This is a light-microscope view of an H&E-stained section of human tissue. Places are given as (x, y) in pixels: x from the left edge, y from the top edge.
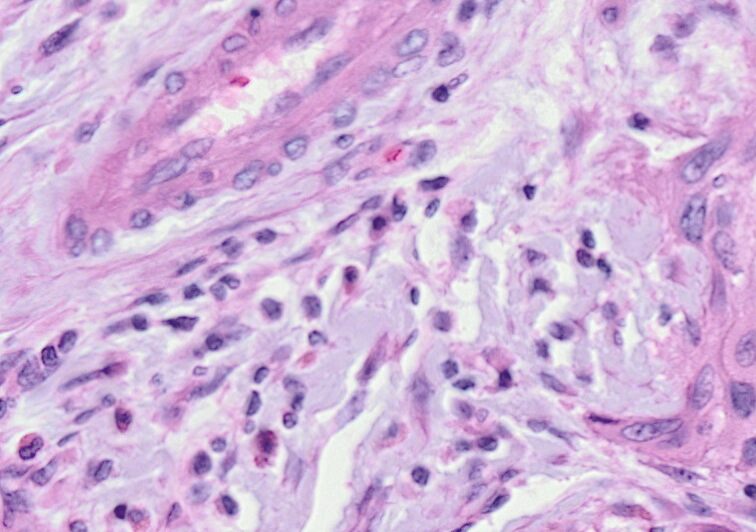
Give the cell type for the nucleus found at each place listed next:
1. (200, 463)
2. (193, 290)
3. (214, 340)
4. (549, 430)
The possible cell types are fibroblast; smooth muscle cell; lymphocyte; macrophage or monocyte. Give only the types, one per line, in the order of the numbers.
lymphocyte
lymphocyte
lymphocyte
fibroblast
